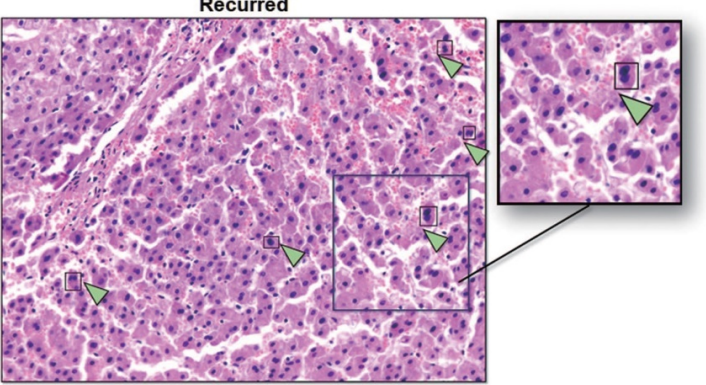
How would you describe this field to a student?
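This is liver tissue of hepatocytes with pink granular cytoplasm and round purple nuclei, arranged in irregular plates separated by pale sinusoidal spaces, some containing red blood cells. Only a few hepatocytes with two nuclei are seen, boxed and marked by arrowheads, and the enlarged inset shows one of them. A strand of connective tissue crosses the upper left part of the field.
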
